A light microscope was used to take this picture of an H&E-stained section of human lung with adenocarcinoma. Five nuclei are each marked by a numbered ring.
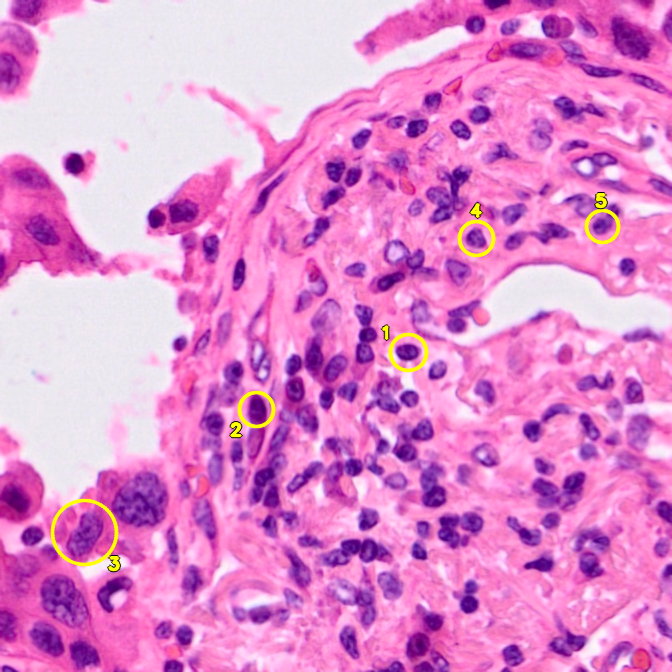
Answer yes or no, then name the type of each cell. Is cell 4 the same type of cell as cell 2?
No, here cell 4 is a lymphocyte, whereas cell 2 is a plasma cell.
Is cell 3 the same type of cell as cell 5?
No, the proper labels are a carcinoma cell for cell 3 and a lymphocyte for cell 5.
